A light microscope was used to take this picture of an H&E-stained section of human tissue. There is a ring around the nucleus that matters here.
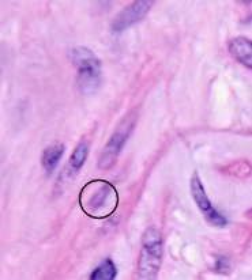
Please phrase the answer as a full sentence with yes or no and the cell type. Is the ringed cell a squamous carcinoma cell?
No, it is not as a squamous carcinoma cell but as a smooth muscle cell that the ringed cell is classed.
